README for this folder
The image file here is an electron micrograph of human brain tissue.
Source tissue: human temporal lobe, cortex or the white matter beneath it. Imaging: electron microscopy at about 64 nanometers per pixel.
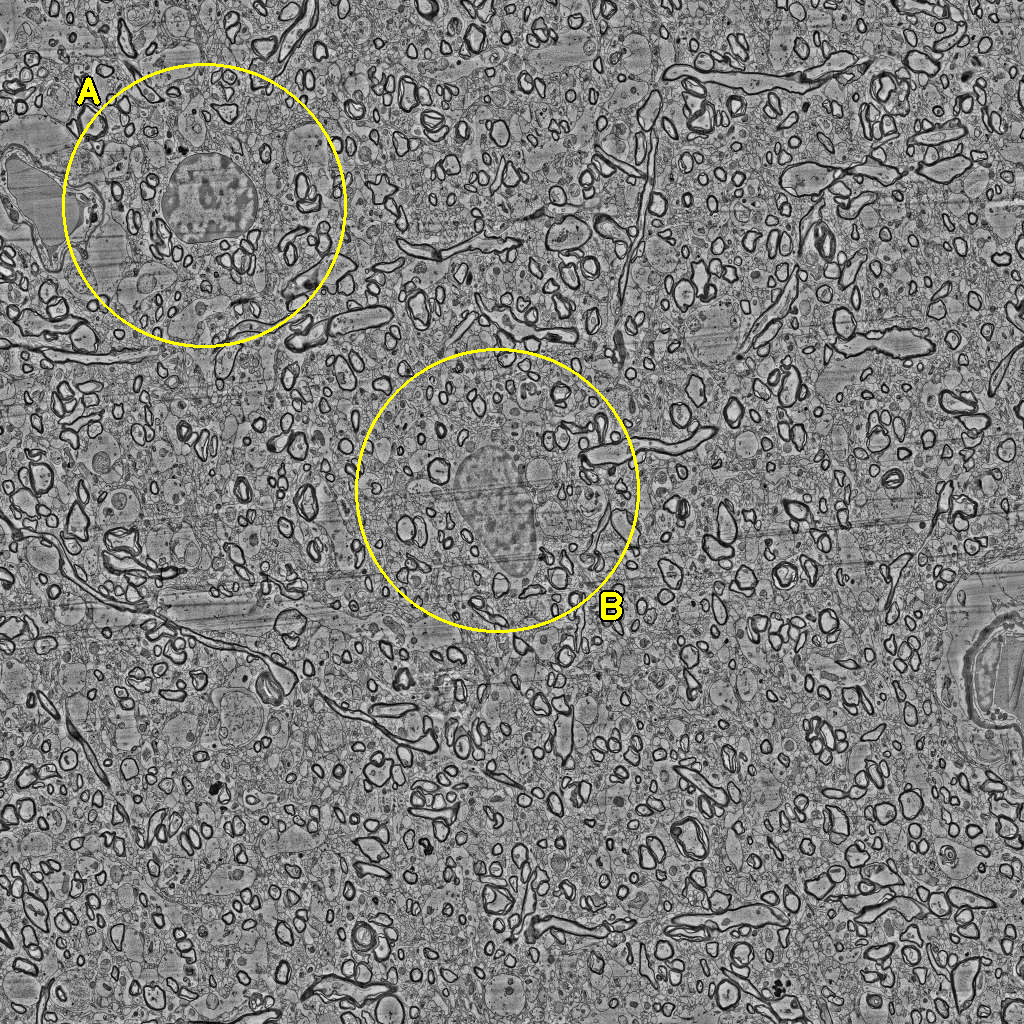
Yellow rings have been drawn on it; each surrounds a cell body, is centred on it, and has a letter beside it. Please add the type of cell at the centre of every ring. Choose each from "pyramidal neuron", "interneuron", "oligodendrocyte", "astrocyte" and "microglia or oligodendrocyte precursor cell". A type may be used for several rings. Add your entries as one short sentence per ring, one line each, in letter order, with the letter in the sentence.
Ring A marks the cell body of a microglial cell or oligodendrocyte precursor cell.
Ring B marks the cell body of an oligodendrocyte.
